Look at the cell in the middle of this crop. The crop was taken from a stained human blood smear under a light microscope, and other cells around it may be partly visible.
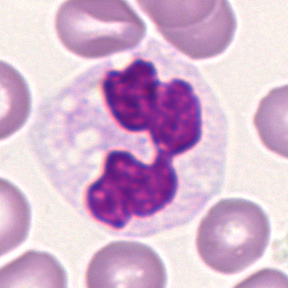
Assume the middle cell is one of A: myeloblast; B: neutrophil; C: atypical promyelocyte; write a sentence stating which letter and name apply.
The cell in the middle is a neutrophil, and that makes option B correct.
